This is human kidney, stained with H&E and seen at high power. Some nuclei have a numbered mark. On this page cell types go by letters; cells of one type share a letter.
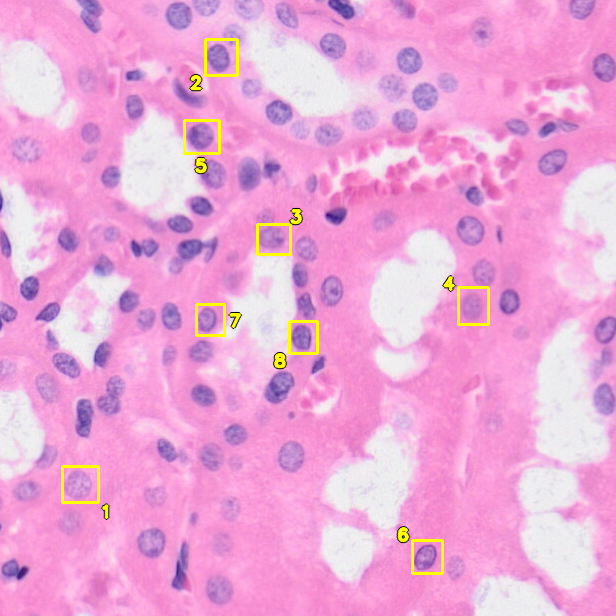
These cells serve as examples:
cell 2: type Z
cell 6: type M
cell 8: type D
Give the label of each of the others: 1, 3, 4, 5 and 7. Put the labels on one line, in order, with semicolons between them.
type M; type D; type M; type D; type D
